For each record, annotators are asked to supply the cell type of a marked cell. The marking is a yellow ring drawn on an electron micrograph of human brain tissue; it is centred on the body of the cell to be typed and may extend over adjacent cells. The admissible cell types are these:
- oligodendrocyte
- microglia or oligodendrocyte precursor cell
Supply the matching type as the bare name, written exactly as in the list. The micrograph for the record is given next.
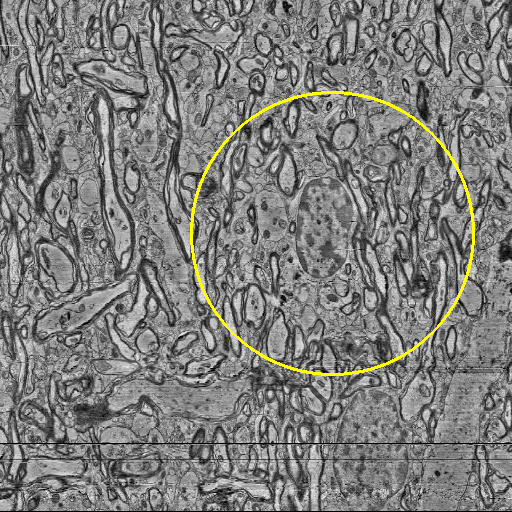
microglia or oligodendrocyte precursor cell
